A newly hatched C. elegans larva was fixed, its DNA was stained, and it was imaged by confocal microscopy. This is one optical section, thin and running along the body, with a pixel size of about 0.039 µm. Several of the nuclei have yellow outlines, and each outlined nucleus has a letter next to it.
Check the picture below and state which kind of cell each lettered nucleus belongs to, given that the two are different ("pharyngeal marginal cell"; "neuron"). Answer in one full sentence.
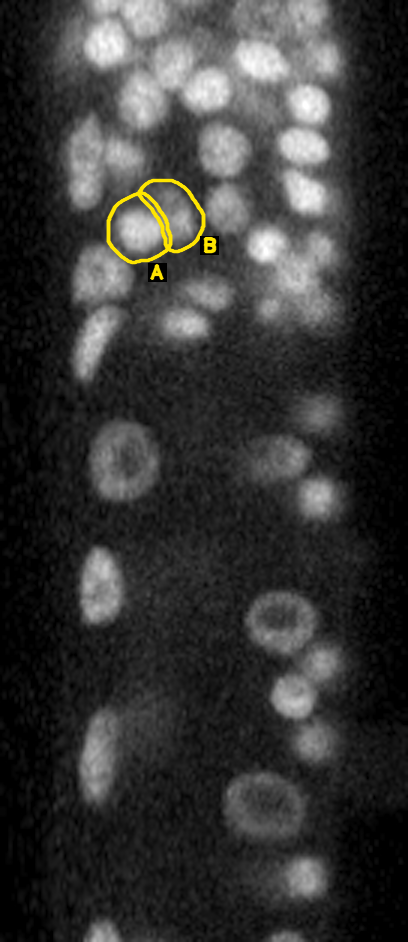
A belongs to a neuron and B to a pharyngeal marginal cell.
